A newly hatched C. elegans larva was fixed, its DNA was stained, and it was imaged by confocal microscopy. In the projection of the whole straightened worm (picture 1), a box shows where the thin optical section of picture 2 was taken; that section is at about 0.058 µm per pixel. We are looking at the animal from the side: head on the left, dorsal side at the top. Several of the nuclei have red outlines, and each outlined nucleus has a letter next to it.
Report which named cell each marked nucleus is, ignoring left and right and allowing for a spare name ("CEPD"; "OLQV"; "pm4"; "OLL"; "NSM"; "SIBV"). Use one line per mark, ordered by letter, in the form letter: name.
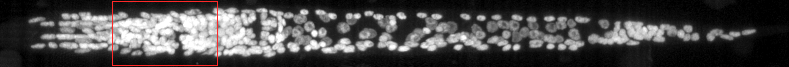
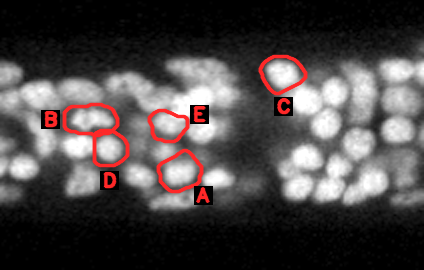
A: OLQV
B: pm4
C: CEPD
D: NSM
E: OLL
